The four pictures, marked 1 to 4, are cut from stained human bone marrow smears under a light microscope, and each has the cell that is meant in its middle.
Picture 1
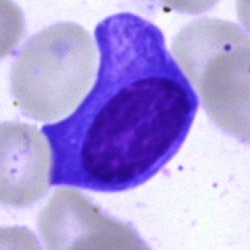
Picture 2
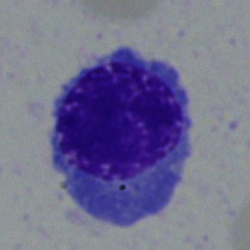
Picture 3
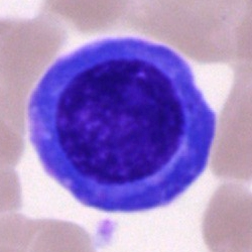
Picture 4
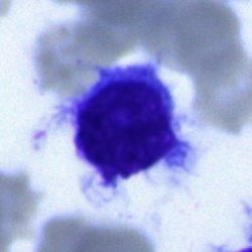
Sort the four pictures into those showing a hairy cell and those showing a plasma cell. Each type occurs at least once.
1: plasma cell
2: plasma cell
3: plasma cell
4: hairy cell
